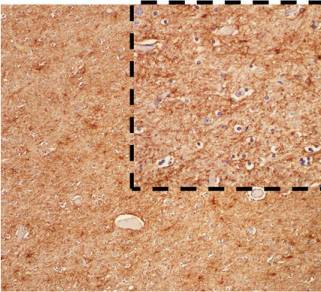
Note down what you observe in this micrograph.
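Brain tissue in which the neuropil is densely stained brown, a meshwork of fine fibrillary processes filling the field between cells. In the inset, small round and oval blue nuclei lie scattered in this brown meshwork, some surrounded by pale halos. The staining is diffuse and granular rather than confined to a few cell bodies. A few small round vessel profiles with clear lumens cross the lower field. Larger pale cell bodies with blue nuclei are seen among the brown processes.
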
